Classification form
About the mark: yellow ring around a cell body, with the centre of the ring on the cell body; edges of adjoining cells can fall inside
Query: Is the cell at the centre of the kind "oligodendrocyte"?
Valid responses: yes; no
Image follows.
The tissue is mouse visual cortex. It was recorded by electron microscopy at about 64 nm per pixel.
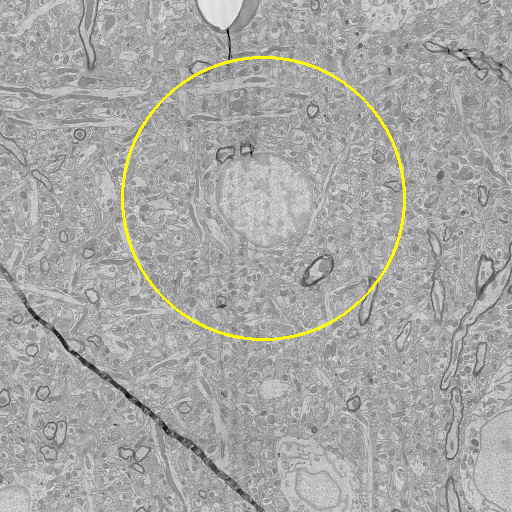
yes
